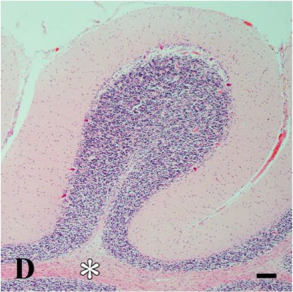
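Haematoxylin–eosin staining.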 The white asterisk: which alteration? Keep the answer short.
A: Loss of myelinated fibres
